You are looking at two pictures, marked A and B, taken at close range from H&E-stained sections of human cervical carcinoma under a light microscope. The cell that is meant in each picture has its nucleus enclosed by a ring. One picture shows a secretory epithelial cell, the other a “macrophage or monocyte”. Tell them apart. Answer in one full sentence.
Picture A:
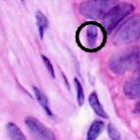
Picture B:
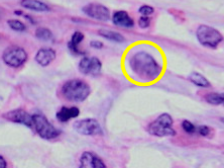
Picture B shows a “macrophage or monocyte”, while picture A shows a secretory epithelial cell.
